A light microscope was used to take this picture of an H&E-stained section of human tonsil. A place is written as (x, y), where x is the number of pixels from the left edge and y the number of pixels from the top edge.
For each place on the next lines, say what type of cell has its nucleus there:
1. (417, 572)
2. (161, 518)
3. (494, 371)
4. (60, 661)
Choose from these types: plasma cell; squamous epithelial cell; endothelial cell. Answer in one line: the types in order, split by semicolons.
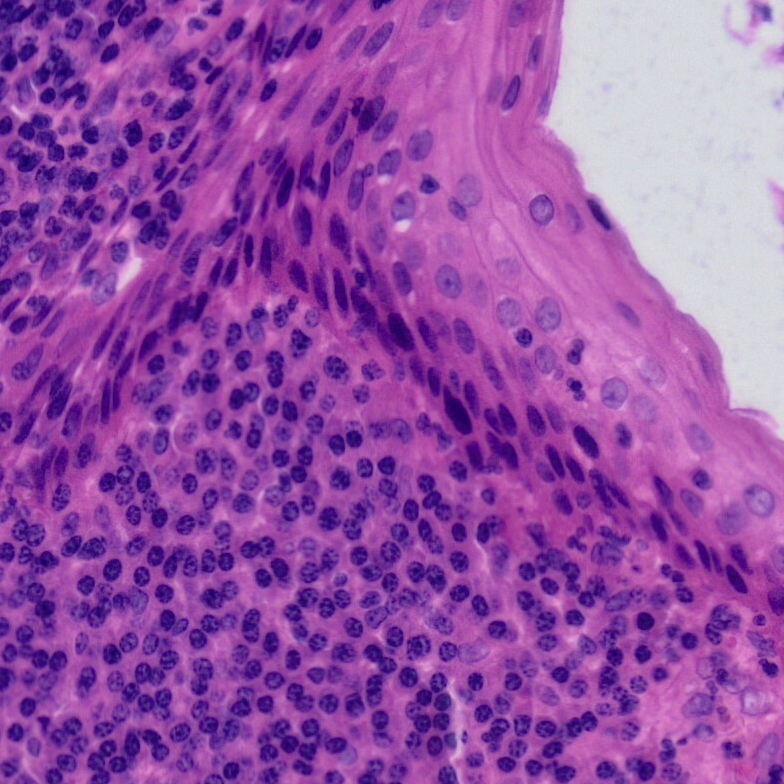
plasma cell; plasma cell; squamous epithelial cell; plasma cell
